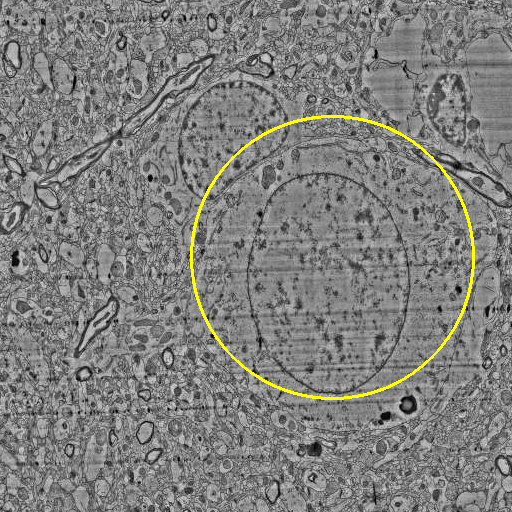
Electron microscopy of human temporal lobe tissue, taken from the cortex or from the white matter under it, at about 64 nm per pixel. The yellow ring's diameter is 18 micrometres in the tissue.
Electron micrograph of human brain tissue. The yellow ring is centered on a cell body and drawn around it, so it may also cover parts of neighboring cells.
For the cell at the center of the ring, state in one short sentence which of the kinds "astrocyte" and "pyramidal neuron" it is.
This ring is centered on a pyramidal neuron.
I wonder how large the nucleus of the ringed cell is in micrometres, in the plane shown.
The nucleus comes to roughly 14 by 11 micrometres in this plane.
